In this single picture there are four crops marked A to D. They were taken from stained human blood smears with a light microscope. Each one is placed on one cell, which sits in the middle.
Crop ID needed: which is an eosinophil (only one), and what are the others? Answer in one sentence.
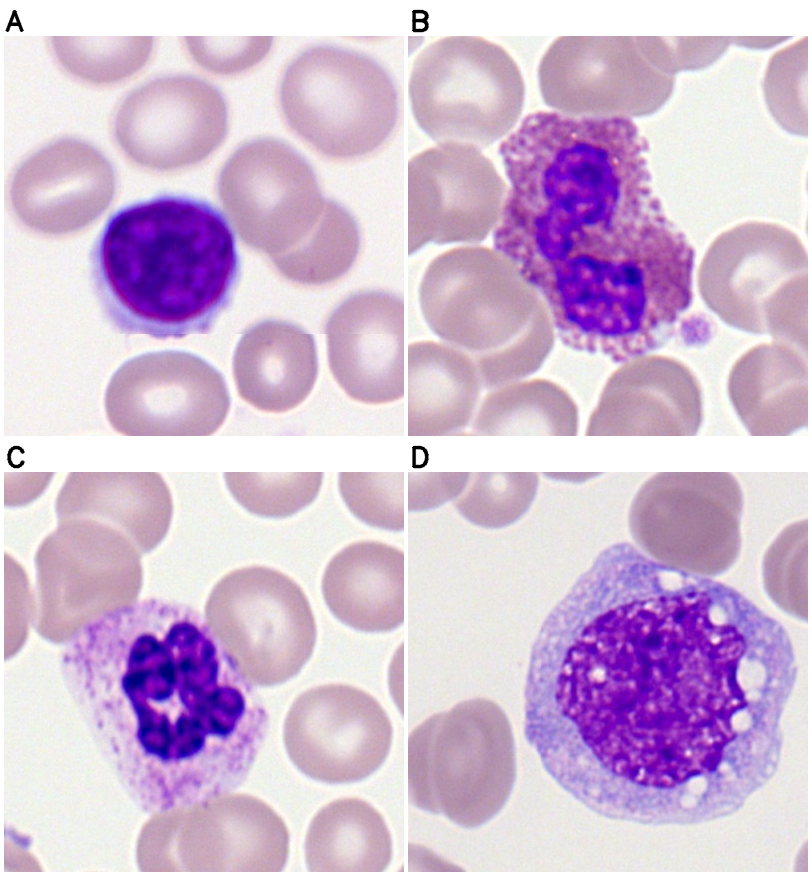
The cell occupying crop B is an eosinophil, whereas crop A is a lymphocyte, crop C is a neutrophil and crop D is a monocyte.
